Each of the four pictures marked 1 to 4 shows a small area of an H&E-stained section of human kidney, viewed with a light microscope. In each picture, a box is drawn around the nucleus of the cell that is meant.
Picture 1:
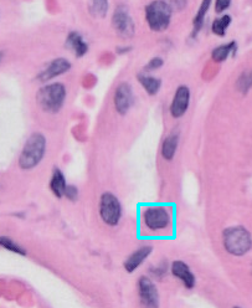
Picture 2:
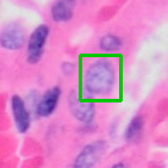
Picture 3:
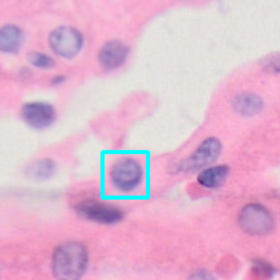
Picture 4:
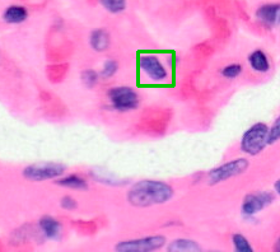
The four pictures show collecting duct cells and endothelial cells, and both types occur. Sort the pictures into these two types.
1: collecting duct cell
2: collecting duct cell
3: collecting duct cell
4: endothelial cell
